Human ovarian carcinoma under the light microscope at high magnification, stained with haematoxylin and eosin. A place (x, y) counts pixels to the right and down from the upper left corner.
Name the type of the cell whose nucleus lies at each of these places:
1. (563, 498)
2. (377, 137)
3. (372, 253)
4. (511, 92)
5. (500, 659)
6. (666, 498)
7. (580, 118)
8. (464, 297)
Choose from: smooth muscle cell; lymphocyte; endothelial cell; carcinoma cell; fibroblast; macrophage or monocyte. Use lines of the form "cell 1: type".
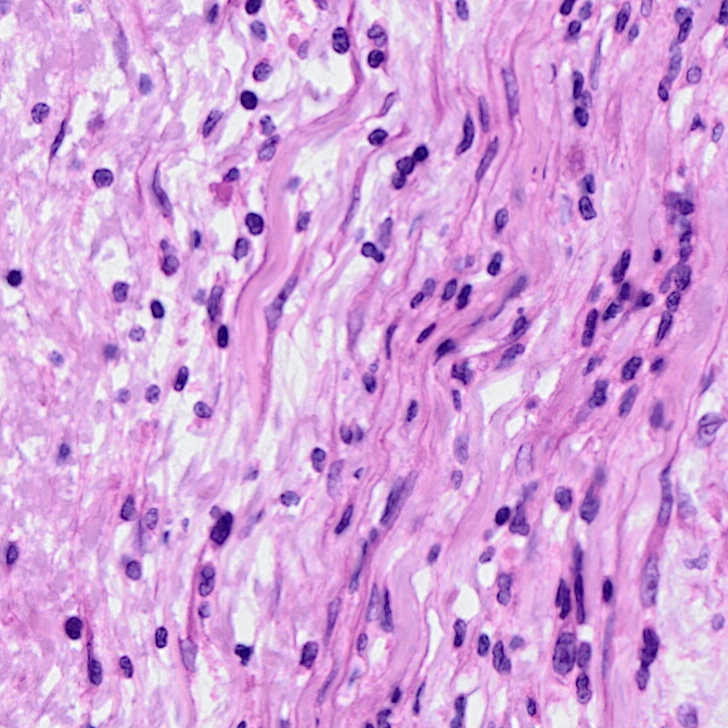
cell 1: lymphocyte
cell 2: lymphocyte
cell 3: lymphocyte
cell 4: fibroblast
cell 5: macrophage or monocyte
cell 6: fibroblast
cell 7: lymphocyte
cell 8: lymphocyte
